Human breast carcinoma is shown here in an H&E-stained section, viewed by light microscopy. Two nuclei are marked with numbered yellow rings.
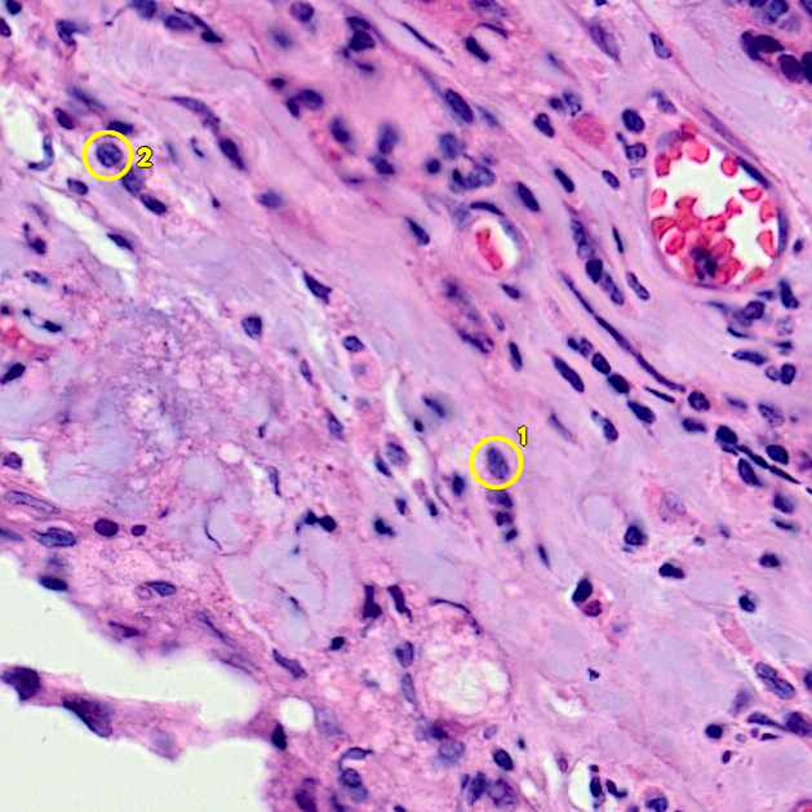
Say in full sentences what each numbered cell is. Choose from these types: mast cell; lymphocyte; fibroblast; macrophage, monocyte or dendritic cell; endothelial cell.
Cell 1 is a mast cell. Cell 2 is a lymphocyte.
